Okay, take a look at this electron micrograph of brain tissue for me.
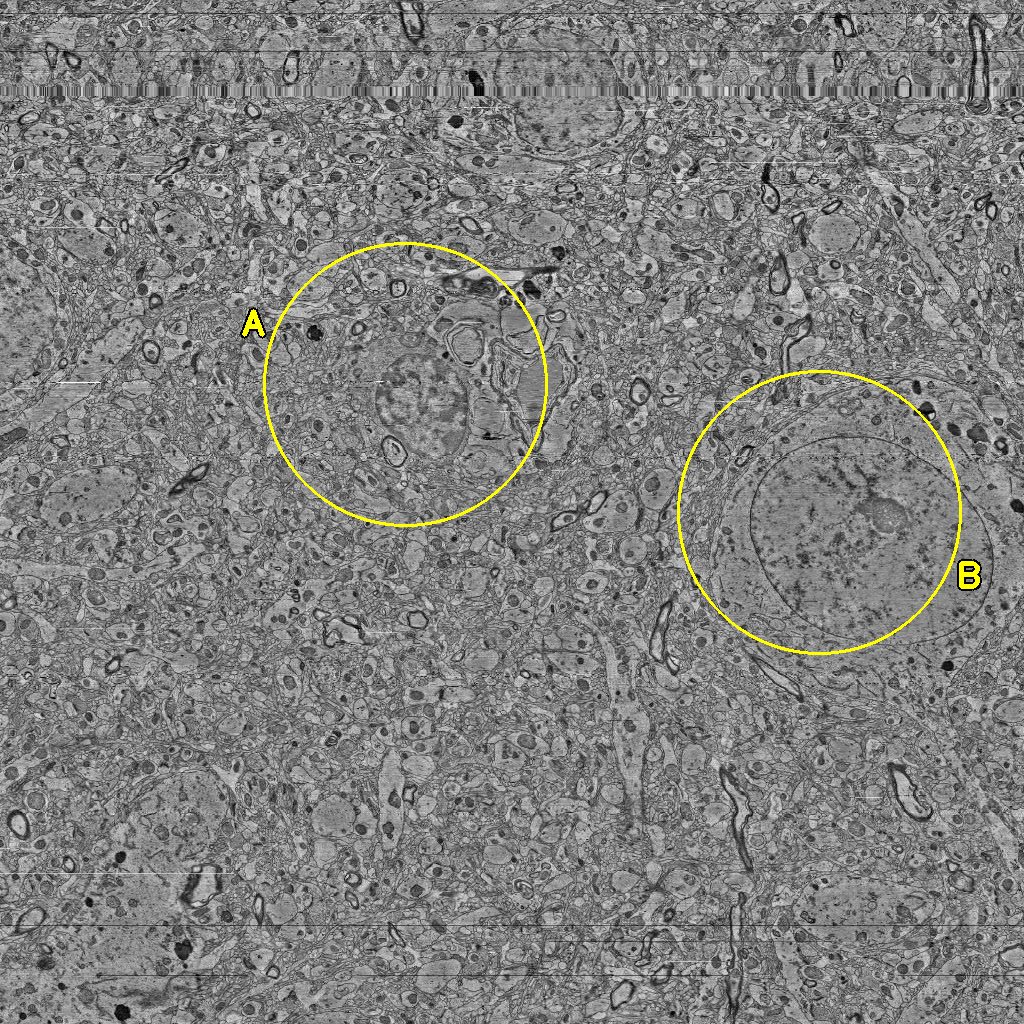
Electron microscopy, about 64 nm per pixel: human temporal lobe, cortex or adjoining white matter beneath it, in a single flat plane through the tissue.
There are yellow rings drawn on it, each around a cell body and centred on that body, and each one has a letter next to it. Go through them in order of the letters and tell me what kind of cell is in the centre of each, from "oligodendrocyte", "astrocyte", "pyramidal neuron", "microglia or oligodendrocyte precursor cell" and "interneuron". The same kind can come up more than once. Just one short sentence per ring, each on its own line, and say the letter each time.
In the centre of ring A there's an oligodendrocyte.
In the centre of ring B there's a pyramidal neuron.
